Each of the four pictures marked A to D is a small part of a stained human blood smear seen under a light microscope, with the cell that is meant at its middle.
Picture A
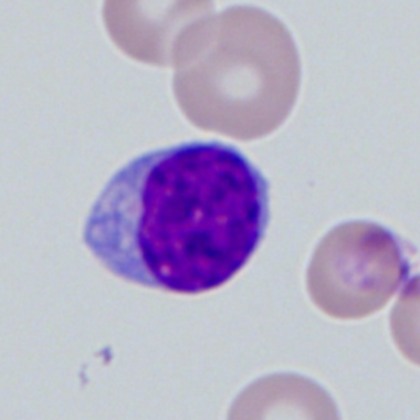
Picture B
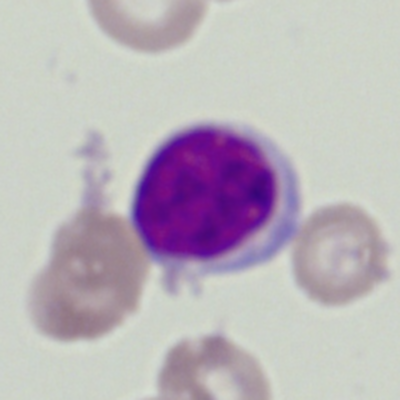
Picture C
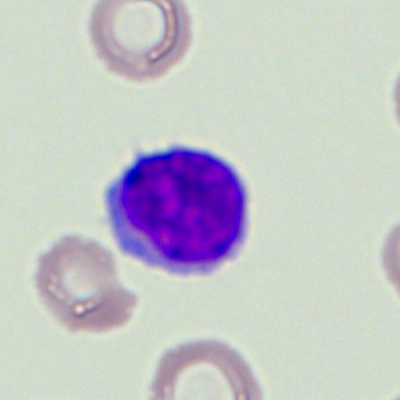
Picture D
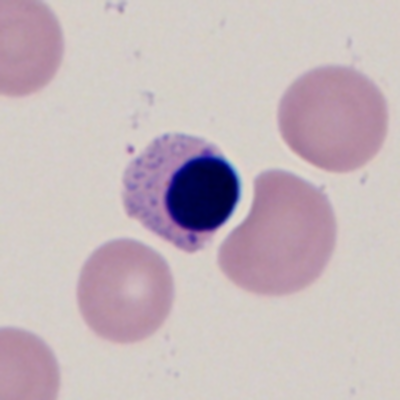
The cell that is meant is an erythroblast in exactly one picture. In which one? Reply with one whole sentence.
It is picture D that shows the erythroblast.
